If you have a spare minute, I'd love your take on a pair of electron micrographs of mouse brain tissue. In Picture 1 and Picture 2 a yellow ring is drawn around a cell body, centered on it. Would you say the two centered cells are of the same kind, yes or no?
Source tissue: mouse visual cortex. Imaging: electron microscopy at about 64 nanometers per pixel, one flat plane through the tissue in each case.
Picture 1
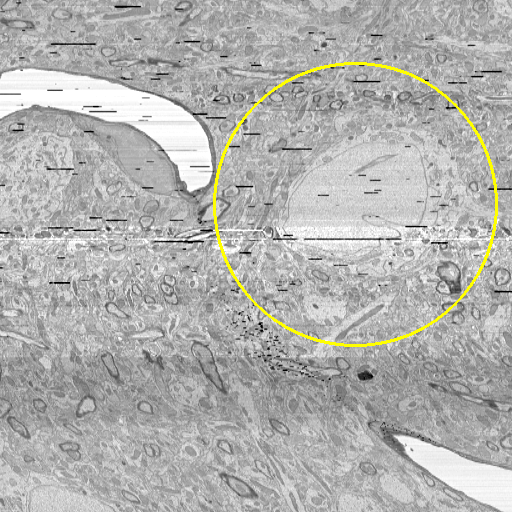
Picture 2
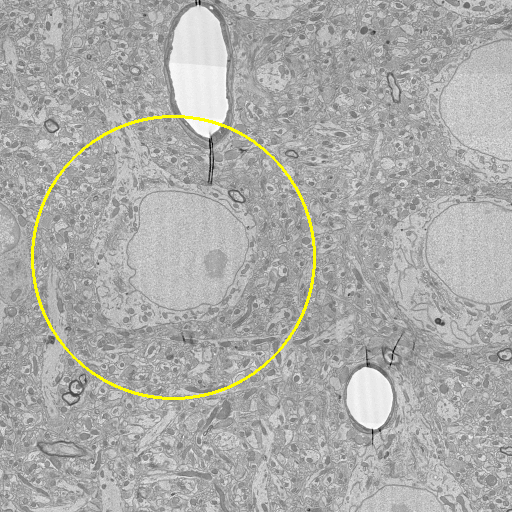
yes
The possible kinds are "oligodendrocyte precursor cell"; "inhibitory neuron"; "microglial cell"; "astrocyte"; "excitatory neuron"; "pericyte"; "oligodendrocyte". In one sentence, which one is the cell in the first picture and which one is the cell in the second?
In each of the two pictures, the ringed cell is an excitatory neuron.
